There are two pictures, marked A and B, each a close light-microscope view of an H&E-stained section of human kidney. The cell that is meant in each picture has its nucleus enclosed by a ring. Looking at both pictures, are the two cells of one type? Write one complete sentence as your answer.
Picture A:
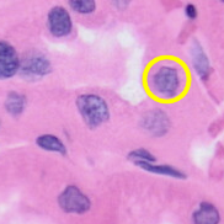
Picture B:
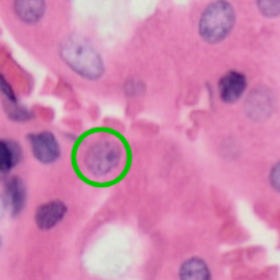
No. Picture A shows a “loop of Henle or distal tubule cell”, but picture B shows a proximal tubule cell.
